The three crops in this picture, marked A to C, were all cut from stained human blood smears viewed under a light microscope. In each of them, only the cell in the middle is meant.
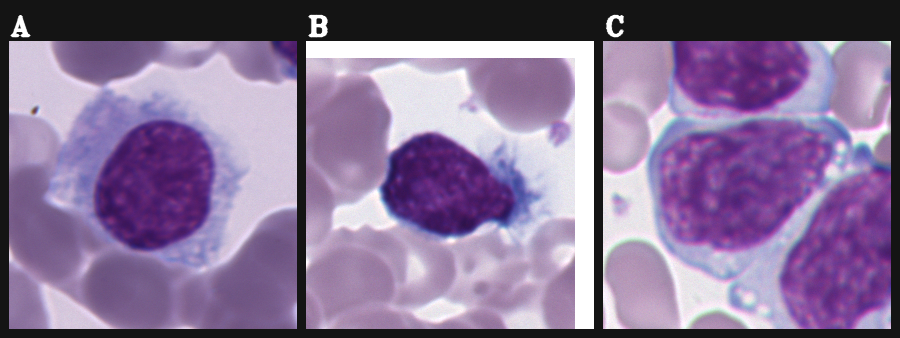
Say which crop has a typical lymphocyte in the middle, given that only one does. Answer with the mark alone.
B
